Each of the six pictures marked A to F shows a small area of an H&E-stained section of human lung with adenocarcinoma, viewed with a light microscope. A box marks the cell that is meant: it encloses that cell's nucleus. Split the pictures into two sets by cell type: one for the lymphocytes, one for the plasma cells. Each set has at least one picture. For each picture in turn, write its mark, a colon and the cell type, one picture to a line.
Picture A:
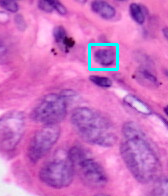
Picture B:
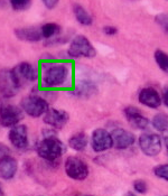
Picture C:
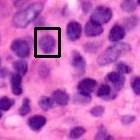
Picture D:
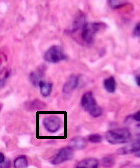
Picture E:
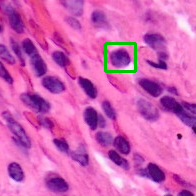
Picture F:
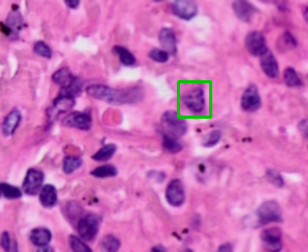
A: plasma cell
B: lymphocyte
C: lymphocyte
D: lymphocyte
E: lymphocyte
F: plasma cell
